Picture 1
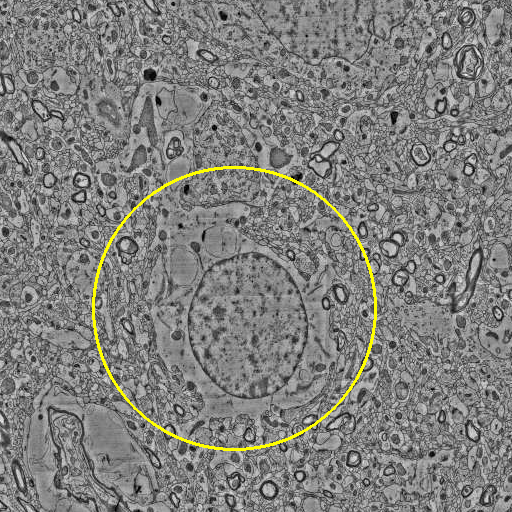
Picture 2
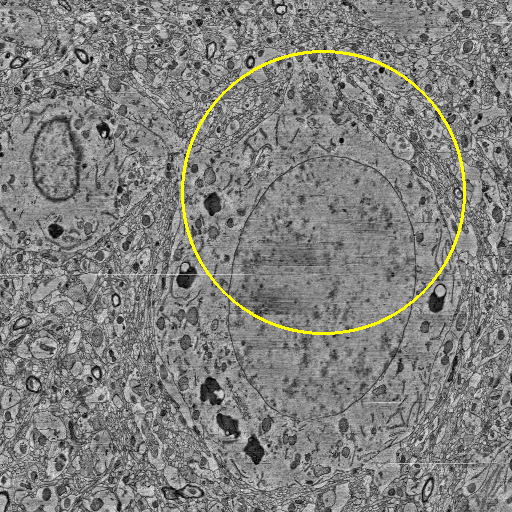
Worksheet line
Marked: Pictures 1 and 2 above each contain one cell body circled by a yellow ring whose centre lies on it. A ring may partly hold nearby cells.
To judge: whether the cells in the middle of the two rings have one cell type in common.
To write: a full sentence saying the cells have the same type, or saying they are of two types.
The cells in the middle of the rings in Picture 1 and Picture 2 are of two types.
